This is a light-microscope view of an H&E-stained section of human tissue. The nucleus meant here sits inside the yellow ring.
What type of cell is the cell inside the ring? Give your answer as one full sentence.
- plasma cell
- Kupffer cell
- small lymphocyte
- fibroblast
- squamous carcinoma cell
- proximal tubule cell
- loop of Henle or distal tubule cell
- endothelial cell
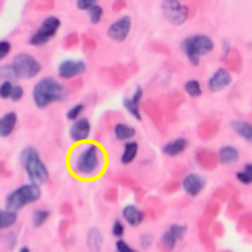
As far as its identity is concerned, the cell inside the ring is an endothelial cell.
